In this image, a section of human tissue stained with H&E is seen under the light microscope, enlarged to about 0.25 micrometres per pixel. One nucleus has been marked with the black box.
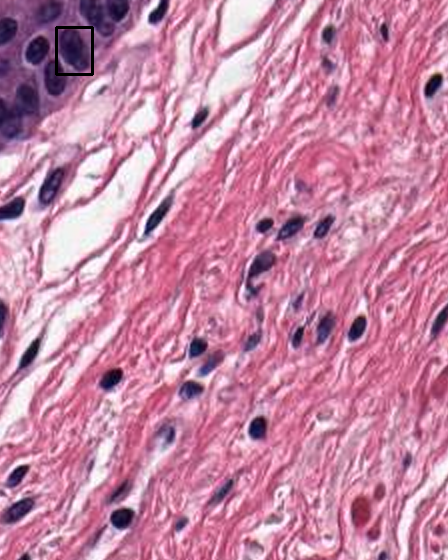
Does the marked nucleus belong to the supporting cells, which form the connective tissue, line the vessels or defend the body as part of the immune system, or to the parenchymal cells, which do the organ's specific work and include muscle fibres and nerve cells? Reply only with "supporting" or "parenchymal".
parenchymal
